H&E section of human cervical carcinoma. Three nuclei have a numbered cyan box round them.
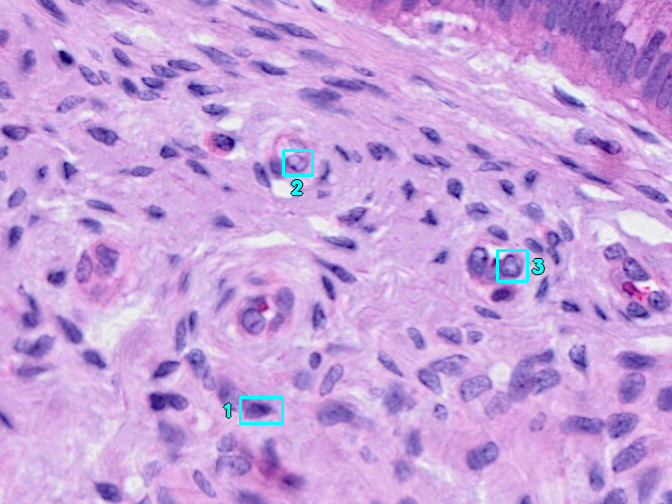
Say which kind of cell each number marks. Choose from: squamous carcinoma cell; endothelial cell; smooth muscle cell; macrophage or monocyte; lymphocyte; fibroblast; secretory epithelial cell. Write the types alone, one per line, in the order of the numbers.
fibroblast
endothelial cell
endothelial cell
